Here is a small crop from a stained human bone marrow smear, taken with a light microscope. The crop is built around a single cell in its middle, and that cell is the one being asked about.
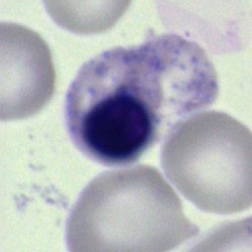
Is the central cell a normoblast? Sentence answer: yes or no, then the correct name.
Yes, in the centre of this field sits a normoblast.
